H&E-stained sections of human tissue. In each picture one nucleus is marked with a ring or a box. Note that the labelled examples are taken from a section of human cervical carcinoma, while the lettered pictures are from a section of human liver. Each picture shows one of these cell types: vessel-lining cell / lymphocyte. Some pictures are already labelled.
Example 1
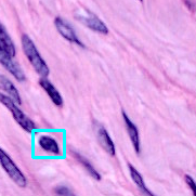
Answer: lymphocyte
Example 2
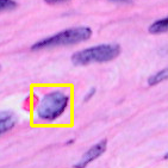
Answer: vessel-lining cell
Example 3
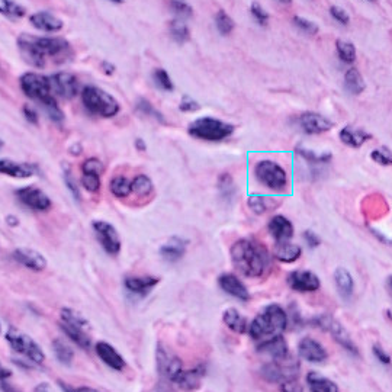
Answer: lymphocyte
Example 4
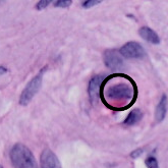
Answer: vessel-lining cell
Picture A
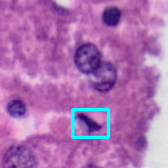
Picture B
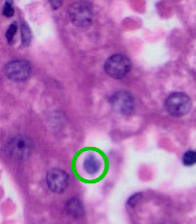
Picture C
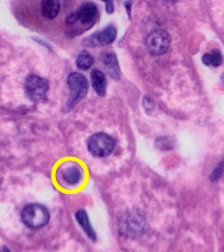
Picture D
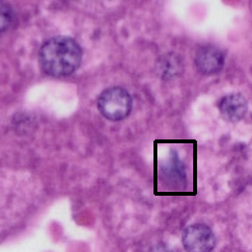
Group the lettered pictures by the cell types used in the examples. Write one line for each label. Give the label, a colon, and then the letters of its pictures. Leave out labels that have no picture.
vessel-lining cell: A, D
lymphocyte: B, C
